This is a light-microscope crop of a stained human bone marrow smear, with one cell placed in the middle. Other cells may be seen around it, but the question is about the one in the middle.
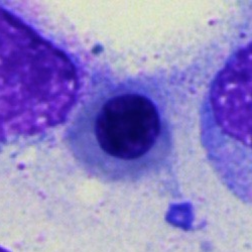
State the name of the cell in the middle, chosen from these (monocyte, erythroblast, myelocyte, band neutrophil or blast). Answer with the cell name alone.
erythroblast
